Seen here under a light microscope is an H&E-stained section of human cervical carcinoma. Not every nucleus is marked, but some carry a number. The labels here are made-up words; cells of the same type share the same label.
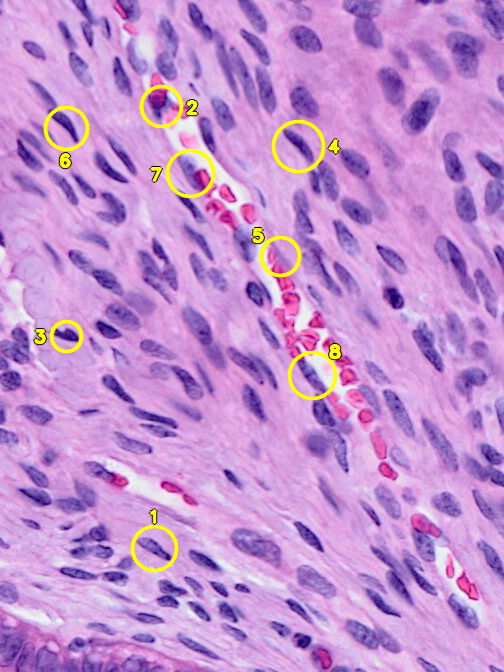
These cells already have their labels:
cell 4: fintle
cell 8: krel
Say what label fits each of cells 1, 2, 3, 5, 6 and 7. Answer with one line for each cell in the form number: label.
1: fintle
2: krel
3: fintle
5: krel
6: fintle
7: krel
